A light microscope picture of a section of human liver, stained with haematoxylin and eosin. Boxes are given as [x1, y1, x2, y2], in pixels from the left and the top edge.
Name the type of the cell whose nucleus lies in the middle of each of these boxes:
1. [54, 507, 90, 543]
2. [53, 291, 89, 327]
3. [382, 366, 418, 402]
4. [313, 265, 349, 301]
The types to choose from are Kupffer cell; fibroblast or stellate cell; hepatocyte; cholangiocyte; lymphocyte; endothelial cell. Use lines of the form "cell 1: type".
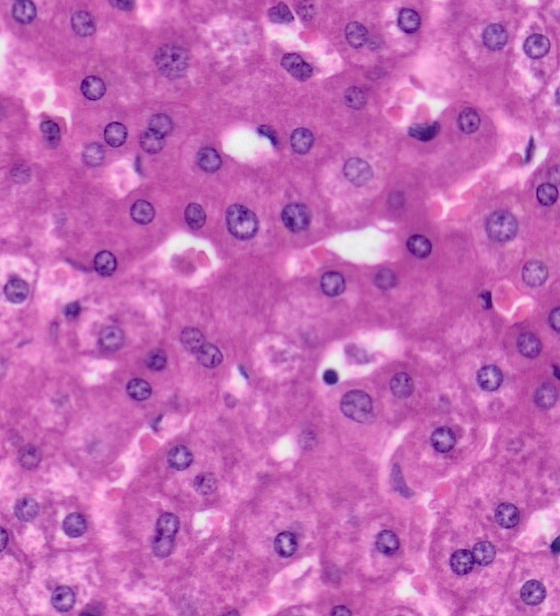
cell 1: hepatocyte
cell 2: fibroblast or stellate cell
cell 3: hepatocyte
cell 4: hepatocyte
